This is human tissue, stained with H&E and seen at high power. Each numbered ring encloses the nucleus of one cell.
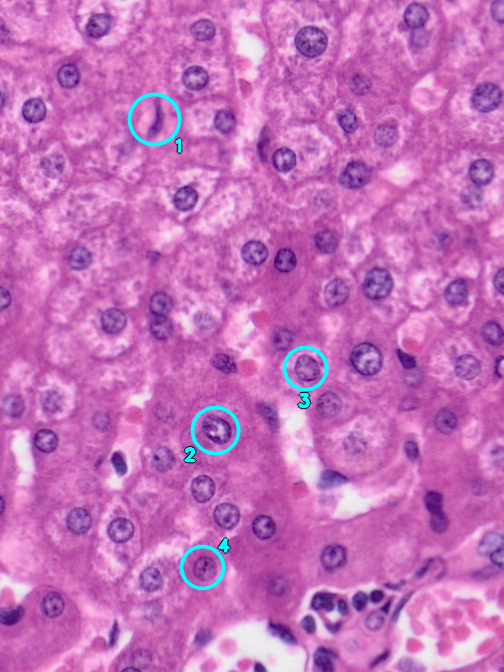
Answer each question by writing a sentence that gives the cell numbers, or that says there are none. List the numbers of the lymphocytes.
None of the cells bearing numbers are lymphocytes.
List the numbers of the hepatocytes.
The cells numbered 2, 3 and 4 are, by type, hepatocytes.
